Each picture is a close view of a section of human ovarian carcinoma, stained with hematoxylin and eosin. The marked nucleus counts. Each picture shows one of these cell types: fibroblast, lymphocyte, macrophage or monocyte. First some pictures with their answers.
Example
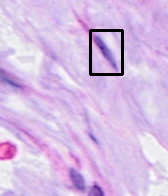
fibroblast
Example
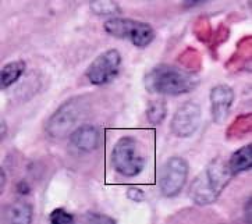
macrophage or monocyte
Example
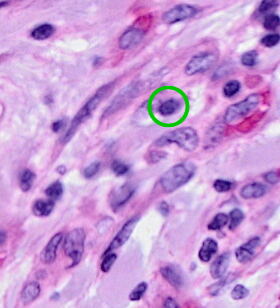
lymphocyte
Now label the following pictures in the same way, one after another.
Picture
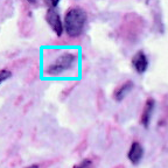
fibroblast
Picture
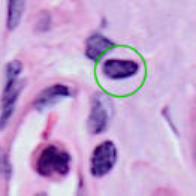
lymphocyte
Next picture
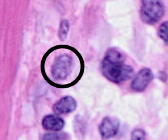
macrophage or monocyte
